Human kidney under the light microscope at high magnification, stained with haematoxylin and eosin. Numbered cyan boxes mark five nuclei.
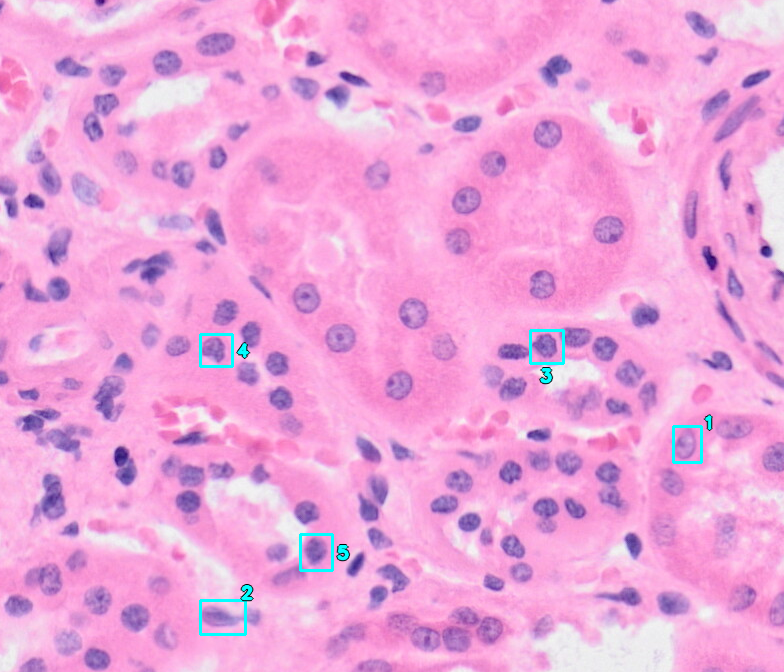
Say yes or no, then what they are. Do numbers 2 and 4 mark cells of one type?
No, sorry to say, cell 2 is an endothelial cell and cell 4 is a loop of Henle or distal tubule cell.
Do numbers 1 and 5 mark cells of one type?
No, the proper labels are a proximal tubule cell for cell 1 and a loop of Henle or distal tubule cell for cell 5.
